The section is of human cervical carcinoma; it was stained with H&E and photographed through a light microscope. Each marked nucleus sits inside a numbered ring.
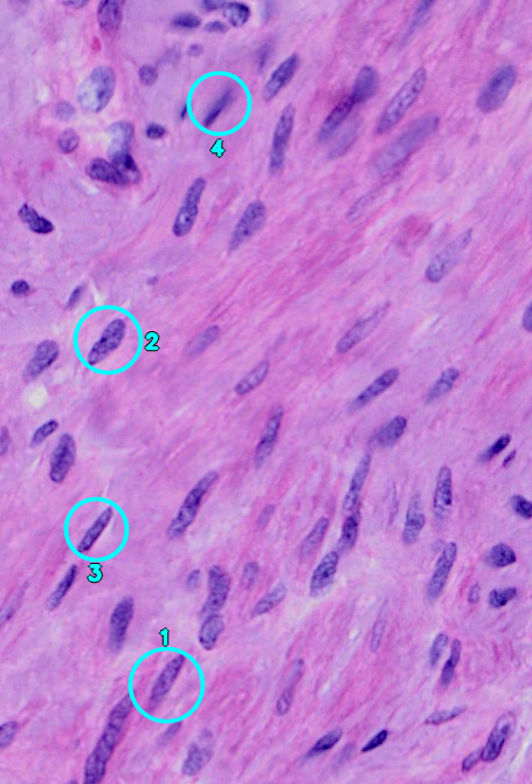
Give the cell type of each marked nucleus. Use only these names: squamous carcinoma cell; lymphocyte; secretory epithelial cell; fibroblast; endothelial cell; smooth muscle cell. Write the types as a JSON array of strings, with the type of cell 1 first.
["smooth muscle cell", "fibroblast", "fibroblast", "fibroblast"]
